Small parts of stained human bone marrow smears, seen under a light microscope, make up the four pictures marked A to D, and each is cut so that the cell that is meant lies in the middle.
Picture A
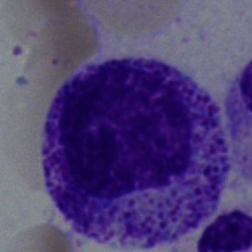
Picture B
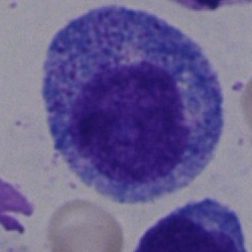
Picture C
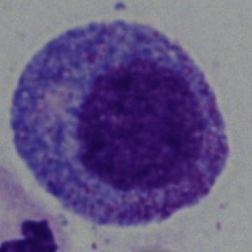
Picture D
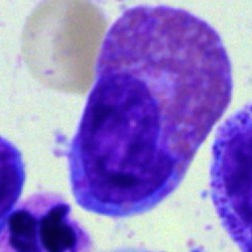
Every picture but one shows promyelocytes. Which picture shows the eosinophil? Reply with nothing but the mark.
D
